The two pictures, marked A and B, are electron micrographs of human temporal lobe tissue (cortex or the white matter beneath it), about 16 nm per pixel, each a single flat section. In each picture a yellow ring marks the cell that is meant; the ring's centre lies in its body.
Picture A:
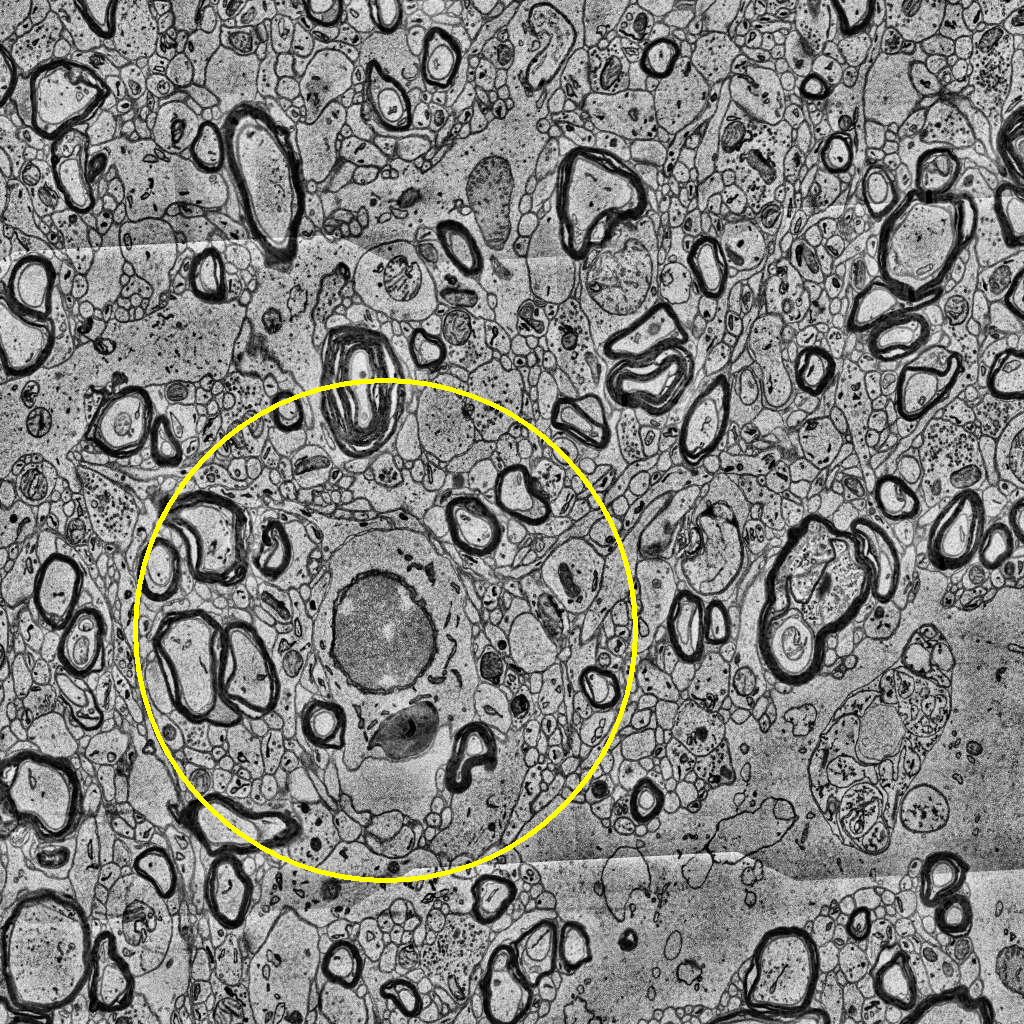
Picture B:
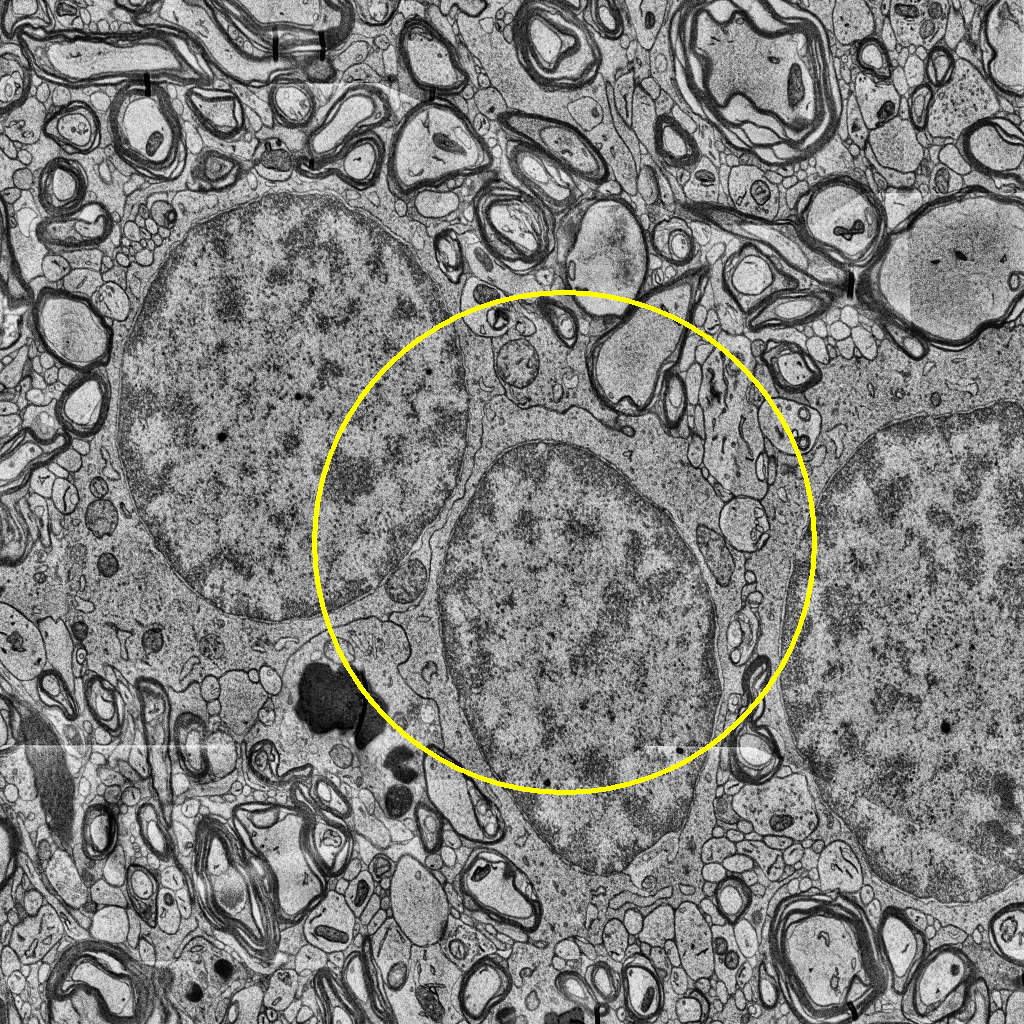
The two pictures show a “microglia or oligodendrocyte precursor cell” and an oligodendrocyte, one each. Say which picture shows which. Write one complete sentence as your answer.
In picture A the cell is a “microglia or oligodendrocyte precursor cell”; in picture B, an oligodendrocyte.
